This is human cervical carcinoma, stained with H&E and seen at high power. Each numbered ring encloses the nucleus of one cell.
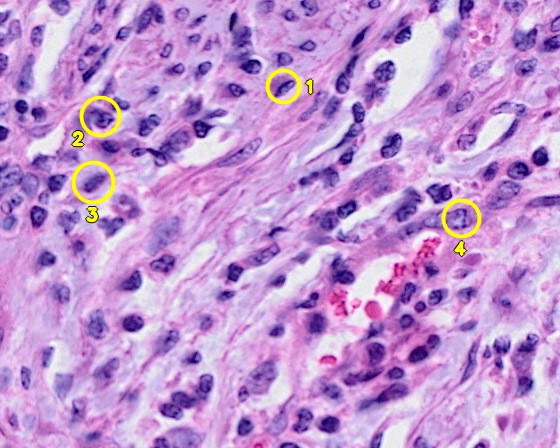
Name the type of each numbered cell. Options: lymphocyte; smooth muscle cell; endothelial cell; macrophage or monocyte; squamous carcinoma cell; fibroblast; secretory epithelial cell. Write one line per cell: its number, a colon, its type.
1: lymphocyte
2: lymphocyte
3: lymphocyte
4: endothelial cell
